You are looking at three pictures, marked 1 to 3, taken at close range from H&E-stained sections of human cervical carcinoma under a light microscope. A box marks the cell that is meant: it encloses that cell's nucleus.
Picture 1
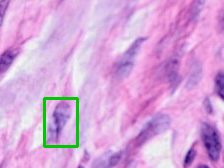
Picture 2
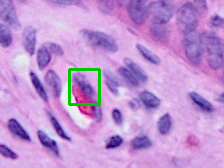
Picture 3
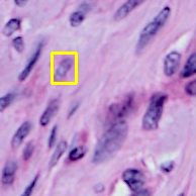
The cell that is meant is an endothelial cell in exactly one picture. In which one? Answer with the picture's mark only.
2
